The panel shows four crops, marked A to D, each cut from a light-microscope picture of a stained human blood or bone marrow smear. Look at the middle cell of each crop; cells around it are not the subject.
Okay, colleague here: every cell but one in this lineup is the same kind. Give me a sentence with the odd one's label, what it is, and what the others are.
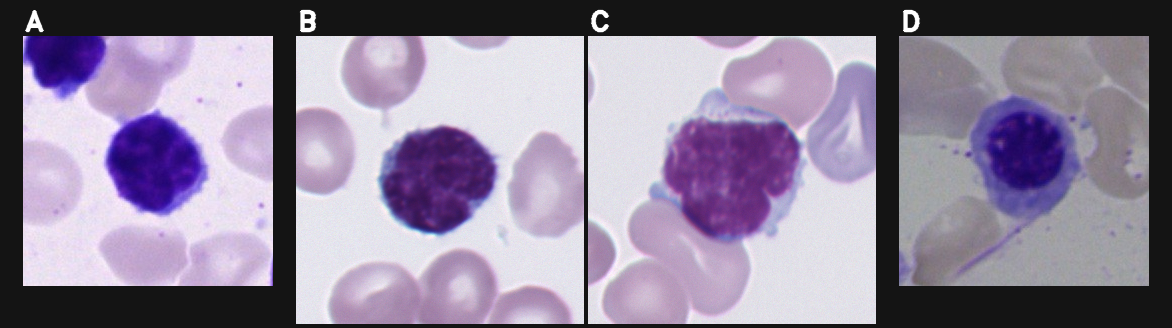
The exception in this group is crop D, a normoblast, and the others are all lymphocytes.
